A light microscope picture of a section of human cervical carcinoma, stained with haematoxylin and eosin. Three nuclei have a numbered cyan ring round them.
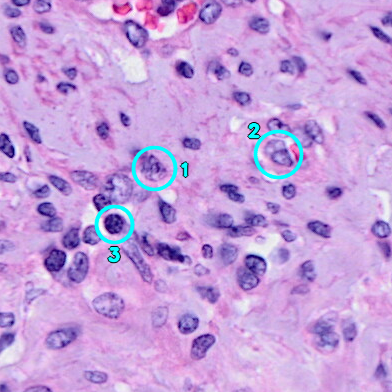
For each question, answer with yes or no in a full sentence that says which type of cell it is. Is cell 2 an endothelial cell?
Yes, the cell whose nucleus carries number 2 is an endothelial cell.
